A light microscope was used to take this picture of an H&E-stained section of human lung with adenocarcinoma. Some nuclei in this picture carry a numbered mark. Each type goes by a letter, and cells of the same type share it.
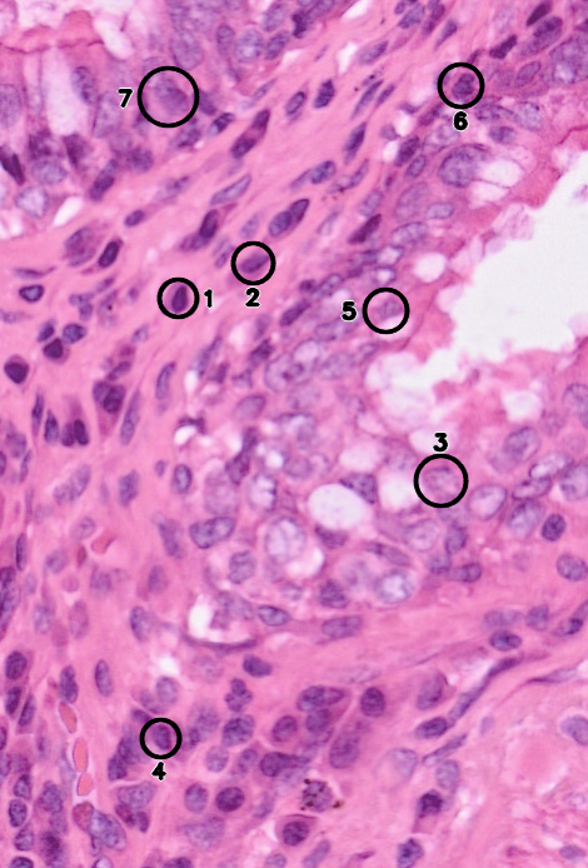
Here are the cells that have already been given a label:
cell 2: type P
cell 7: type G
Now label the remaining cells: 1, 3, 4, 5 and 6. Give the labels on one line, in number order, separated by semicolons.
type P; type G; type P; type G; type G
